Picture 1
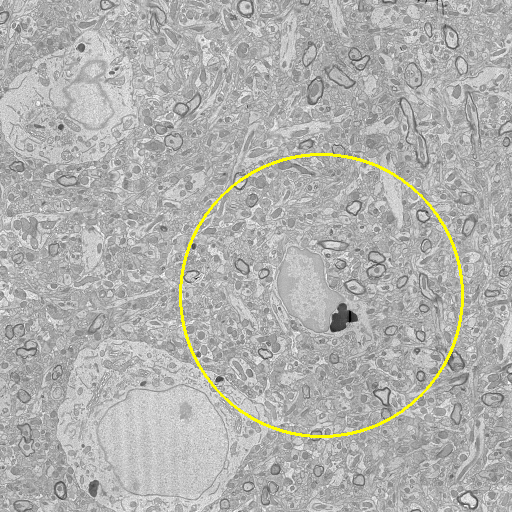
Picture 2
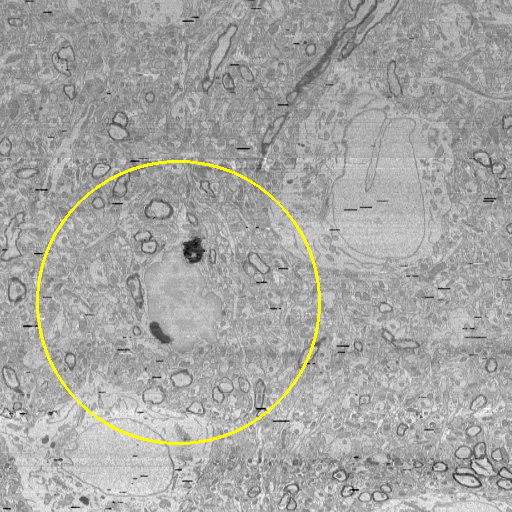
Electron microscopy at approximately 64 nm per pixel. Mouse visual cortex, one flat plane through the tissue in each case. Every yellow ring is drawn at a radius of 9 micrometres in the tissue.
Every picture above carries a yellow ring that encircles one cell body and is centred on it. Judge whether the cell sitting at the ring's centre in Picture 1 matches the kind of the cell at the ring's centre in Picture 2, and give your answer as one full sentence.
Yes, the cells centred in the rings of Pictures 1 and 2 belong to one kind.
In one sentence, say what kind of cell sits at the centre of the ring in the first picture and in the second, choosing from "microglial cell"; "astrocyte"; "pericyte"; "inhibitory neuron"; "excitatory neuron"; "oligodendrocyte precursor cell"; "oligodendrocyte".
Both the first and the second picture show a microglial cell in the ring.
